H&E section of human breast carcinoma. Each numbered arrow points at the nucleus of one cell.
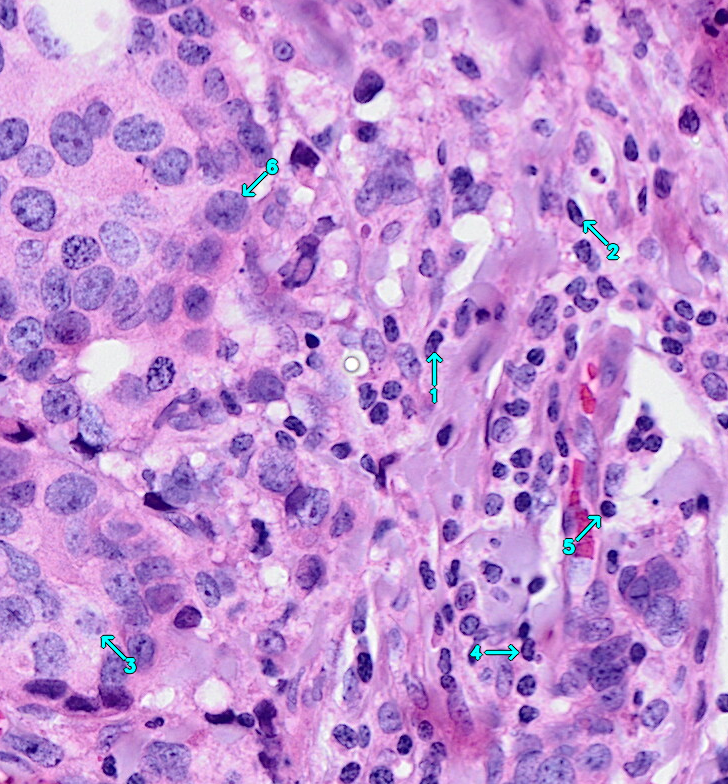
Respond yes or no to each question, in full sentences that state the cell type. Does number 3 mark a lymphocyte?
No, number 3 points to a carcinoma cell and not to a lymphocyte.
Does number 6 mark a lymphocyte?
No, the cell with the number 6 is a carcinoma cell, not a lymphocyte.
